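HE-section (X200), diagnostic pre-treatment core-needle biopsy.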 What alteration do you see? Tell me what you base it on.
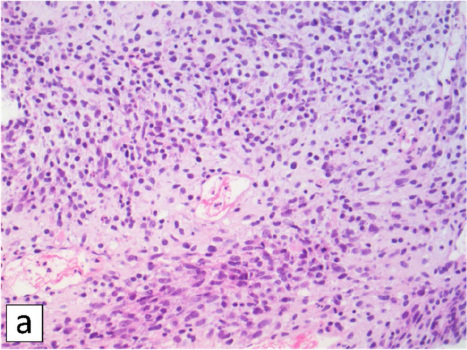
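Densely packed cells with small dark blue nuclei and scant cytoplasm. Areas of high and lower cell density.
Answer: small blue round cell tumor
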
